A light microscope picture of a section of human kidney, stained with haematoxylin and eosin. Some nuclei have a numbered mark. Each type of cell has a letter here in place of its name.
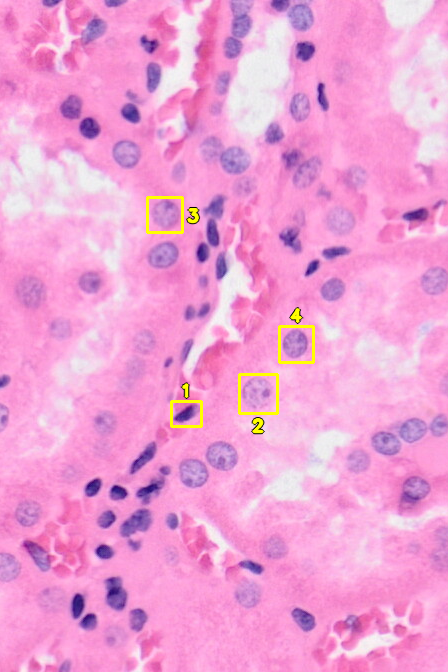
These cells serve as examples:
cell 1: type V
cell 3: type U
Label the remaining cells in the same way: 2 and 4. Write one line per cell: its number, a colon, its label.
2: type U
4: type U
